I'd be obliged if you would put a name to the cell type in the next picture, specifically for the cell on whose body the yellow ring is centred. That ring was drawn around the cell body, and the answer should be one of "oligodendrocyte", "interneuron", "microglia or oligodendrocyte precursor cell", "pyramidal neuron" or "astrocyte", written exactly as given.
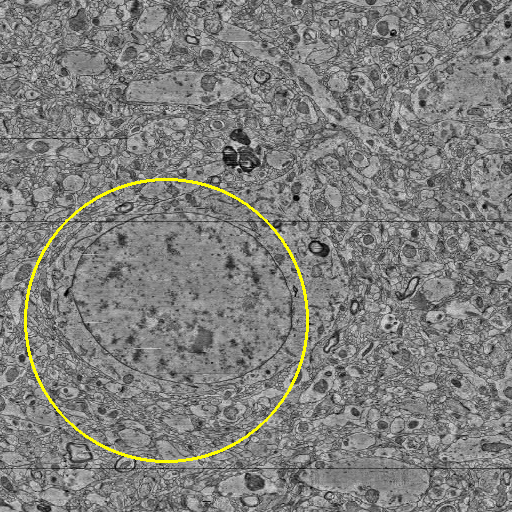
pyramidal neuron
